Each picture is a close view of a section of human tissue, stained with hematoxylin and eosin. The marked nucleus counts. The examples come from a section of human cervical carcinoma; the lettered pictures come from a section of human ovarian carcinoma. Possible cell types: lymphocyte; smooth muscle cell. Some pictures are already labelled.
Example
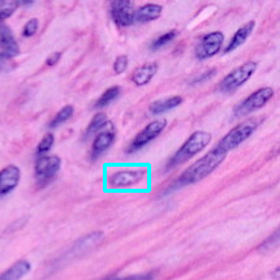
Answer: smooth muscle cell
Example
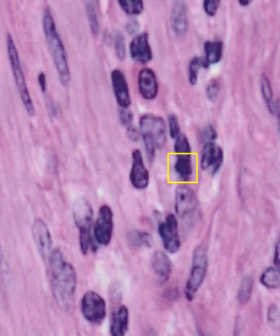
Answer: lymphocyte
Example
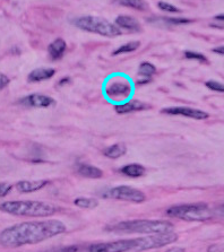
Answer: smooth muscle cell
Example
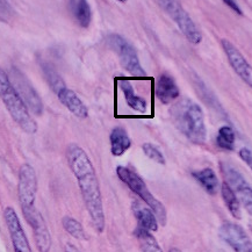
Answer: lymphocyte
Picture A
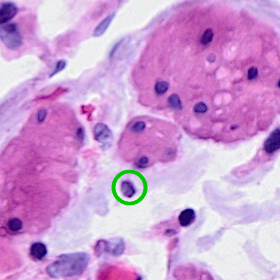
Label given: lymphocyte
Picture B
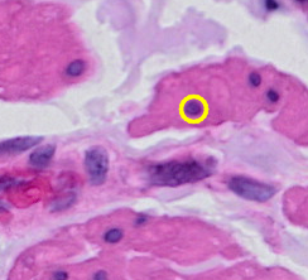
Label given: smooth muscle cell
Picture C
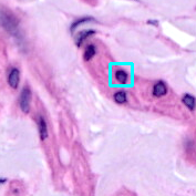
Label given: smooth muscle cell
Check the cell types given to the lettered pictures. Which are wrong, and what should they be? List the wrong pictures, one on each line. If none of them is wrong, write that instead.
All labels are correct.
